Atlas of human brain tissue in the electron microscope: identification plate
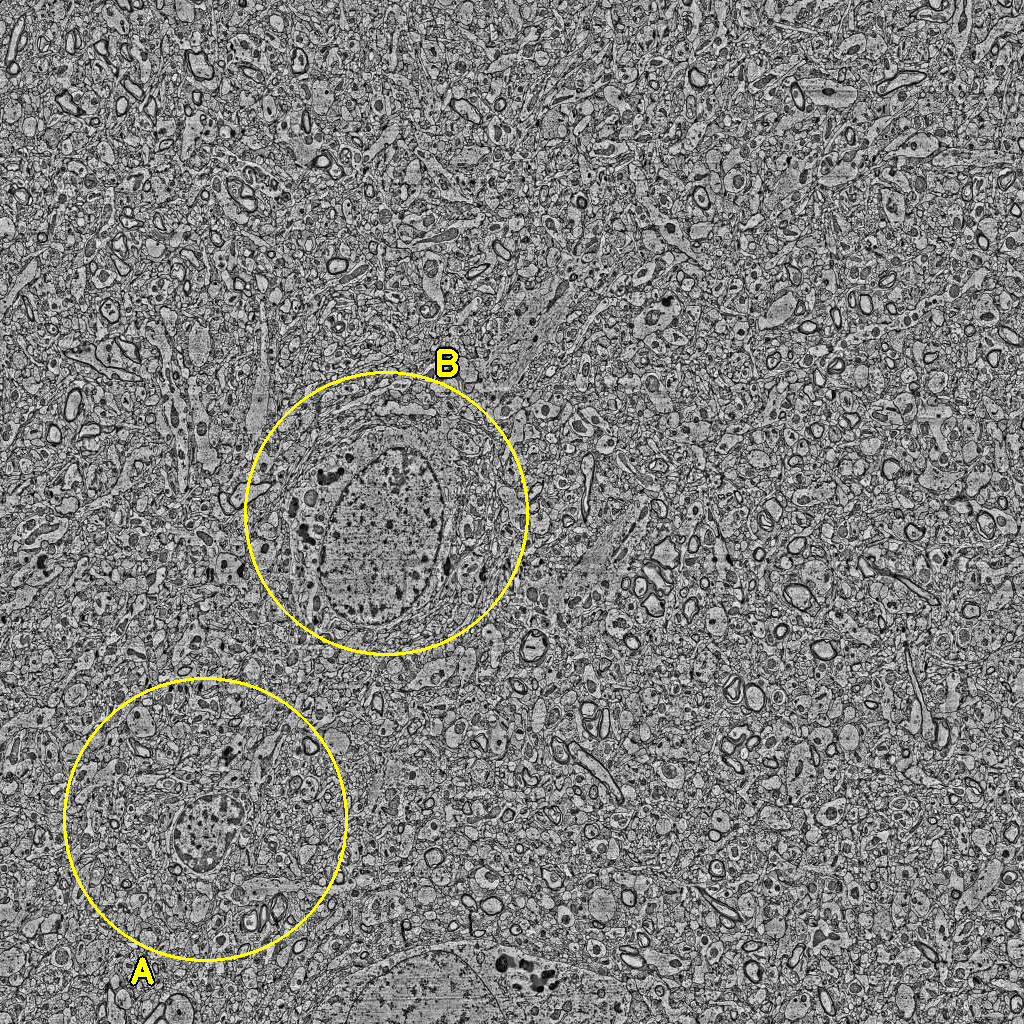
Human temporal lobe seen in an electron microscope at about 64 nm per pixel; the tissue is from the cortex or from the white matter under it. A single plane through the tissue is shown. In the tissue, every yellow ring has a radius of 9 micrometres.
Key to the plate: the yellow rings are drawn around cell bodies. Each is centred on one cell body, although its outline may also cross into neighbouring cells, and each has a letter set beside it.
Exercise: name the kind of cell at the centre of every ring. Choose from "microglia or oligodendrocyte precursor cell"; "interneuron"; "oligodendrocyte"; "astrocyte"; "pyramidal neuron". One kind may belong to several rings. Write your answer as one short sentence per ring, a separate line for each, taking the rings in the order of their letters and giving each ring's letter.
The centre of ring A is occupied by a microglial cell or oligodendrocyte precursor cell.
The centre of ring B is occupied by an astrocyte.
